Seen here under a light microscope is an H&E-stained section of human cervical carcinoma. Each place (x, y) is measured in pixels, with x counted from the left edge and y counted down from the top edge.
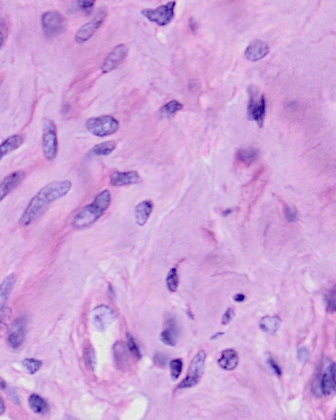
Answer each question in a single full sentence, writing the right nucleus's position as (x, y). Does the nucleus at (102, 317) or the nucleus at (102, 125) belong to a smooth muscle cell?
Of the pair, the nucleus located at (102, 125) belongs to a smooth muscle cell.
